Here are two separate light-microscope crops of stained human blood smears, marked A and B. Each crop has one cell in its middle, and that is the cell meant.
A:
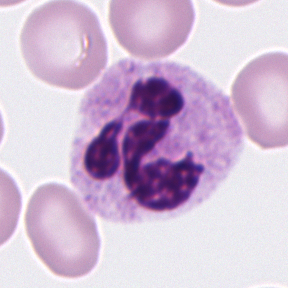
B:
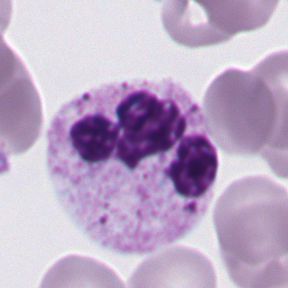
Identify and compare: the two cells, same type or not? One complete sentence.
Yes, both crops are centred on segmented neutrophils.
